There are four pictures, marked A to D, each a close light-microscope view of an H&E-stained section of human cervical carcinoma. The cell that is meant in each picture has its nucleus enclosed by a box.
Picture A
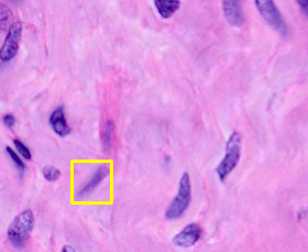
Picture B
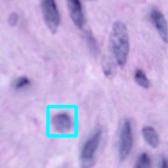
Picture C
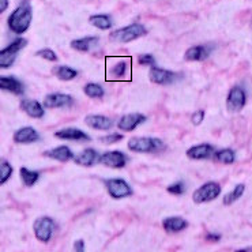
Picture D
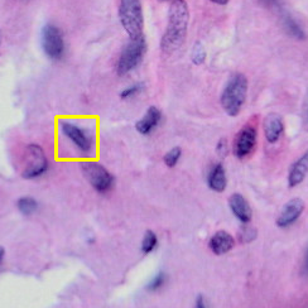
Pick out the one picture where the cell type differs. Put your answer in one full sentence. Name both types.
All pictures except C show fibroblasts; picture C shows a smooth muscle cell.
